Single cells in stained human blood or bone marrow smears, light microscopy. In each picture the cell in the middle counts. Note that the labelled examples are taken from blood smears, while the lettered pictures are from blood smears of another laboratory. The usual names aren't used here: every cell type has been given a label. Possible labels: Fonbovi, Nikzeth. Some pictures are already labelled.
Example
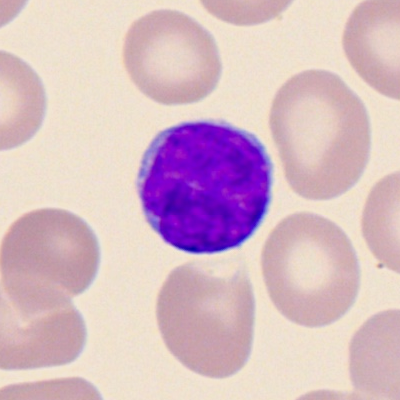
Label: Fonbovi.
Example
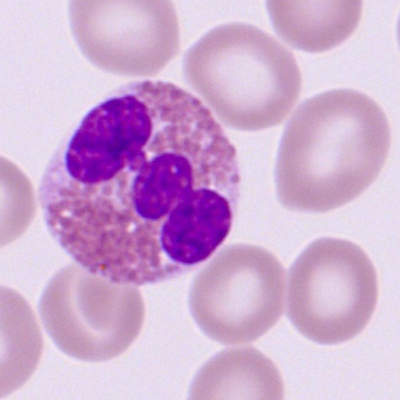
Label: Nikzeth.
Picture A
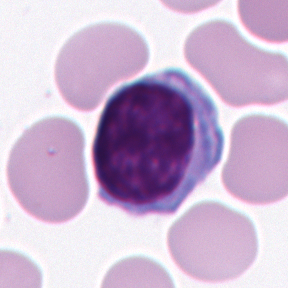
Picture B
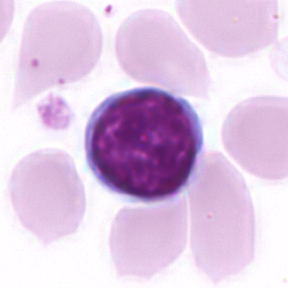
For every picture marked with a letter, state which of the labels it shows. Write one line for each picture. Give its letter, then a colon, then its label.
A: Fonbovi.
B: Fonbovi.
